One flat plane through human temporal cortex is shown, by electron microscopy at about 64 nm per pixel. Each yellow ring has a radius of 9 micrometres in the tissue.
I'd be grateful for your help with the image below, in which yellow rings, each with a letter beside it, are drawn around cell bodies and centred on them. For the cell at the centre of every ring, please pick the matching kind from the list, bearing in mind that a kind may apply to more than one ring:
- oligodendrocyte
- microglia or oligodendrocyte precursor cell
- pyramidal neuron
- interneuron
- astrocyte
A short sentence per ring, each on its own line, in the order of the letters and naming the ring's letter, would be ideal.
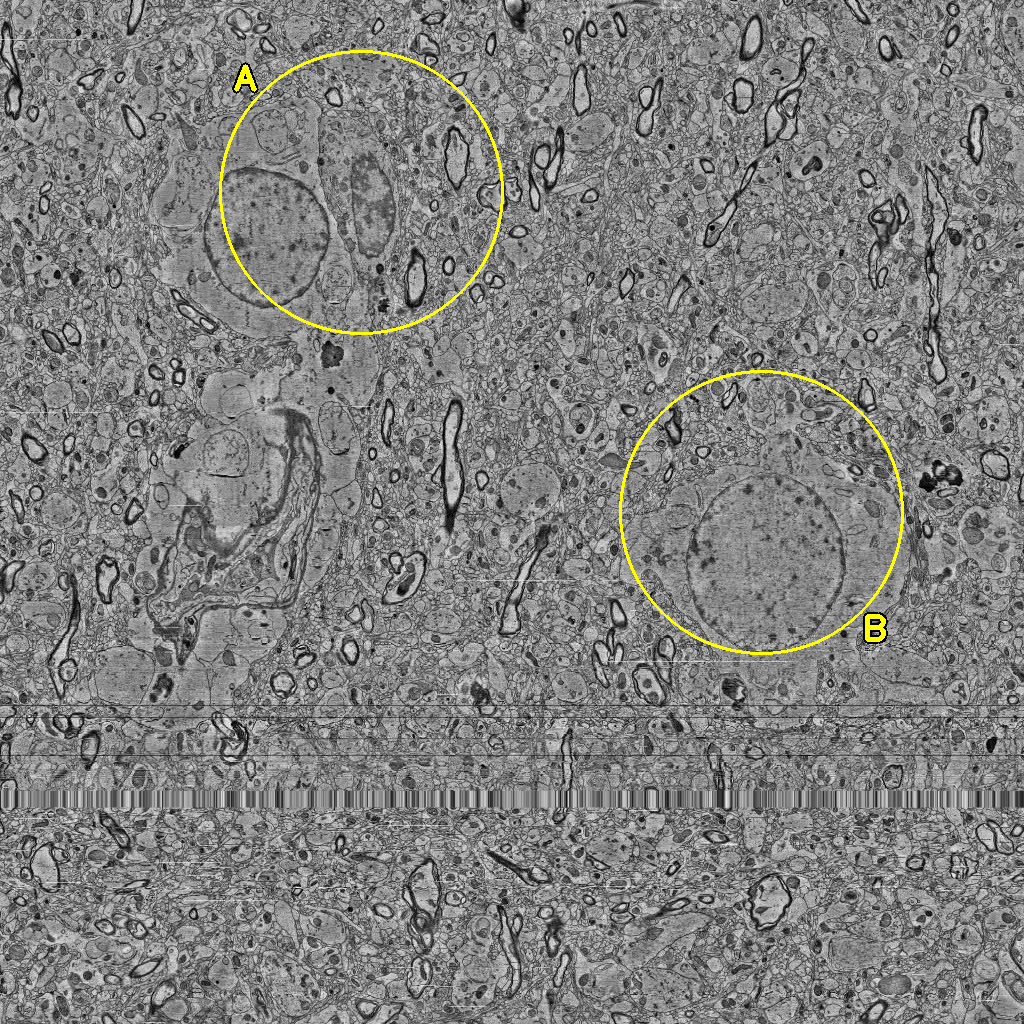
Inside ring A, the central cell is an oligodendrocyte.
Inside ring B, the central cell is an astrocyte.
